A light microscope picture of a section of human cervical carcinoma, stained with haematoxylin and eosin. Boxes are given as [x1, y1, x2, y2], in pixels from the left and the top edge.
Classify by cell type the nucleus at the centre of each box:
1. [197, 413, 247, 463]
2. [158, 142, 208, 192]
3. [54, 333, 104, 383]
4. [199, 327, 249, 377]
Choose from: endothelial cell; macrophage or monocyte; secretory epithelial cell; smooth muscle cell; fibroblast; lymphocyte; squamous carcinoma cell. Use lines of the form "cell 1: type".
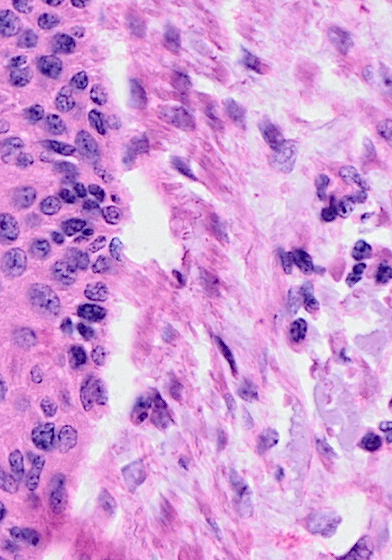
cell 1: fibroblast
cell 2: fibroblast
cell 3: squamous carcinoma cell
cell 4: fibroblast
